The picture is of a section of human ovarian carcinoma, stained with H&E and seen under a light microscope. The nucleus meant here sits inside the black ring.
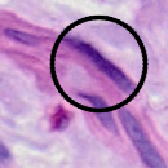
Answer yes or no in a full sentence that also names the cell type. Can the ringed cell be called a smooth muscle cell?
Yes, the ringed cell is recognized as a smooth muscle cell in this section.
